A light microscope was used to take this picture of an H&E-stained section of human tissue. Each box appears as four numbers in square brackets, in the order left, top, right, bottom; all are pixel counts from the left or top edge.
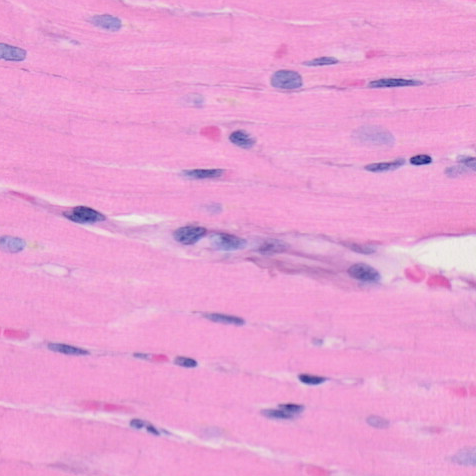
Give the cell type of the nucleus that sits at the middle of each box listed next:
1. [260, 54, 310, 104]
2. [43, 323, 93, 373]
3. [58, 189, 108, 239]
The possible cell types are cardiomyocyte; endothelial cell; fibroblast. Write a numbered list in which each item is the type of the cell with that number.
1. cardiomyocyte
2. endothelial cell
3. endothelial cell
